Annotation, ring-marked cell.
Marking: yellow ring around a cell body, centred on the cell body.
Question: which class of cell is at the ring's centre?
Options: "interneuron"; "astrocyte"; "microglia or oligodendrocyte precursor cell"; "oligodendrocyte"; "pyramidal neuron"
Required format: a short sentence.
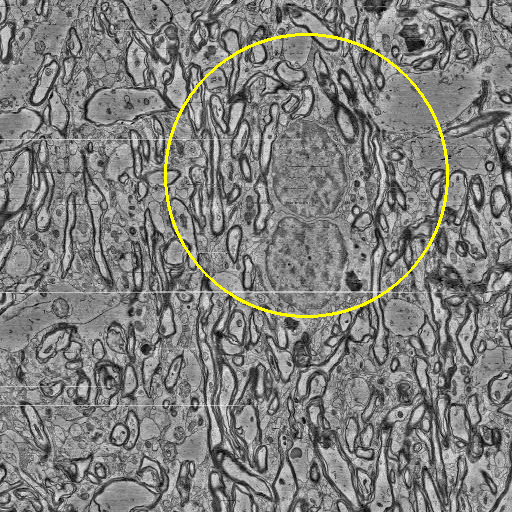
At the ring's centre is an oligodendrocyte.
